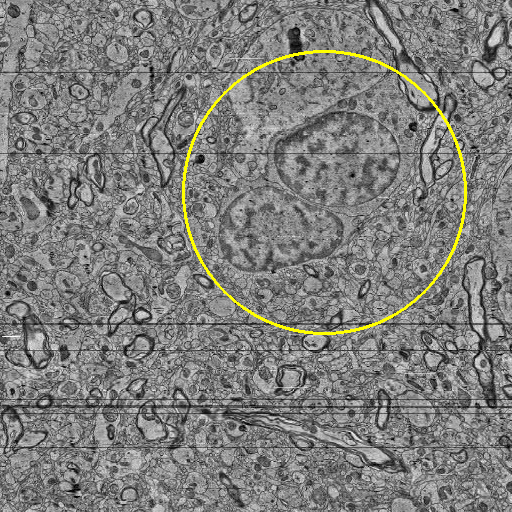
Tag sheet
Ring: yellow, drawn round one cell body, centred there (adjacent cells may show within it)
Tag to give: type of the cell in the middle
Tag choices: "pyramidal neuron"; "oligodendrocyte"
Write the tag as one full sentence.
I tag the cell centred in the yellow ring as an oligodendrocyte in this picture.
